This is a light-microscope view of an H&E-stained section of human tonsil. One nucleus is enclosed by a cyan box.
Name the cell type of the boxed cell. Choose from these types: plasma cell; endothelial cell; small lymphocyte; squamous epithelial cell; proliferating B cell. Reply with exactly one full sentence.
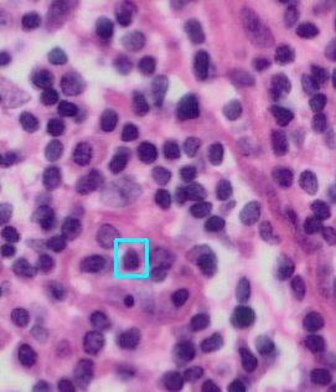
Histopathologically, the boxed cell is an endothelial cell.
